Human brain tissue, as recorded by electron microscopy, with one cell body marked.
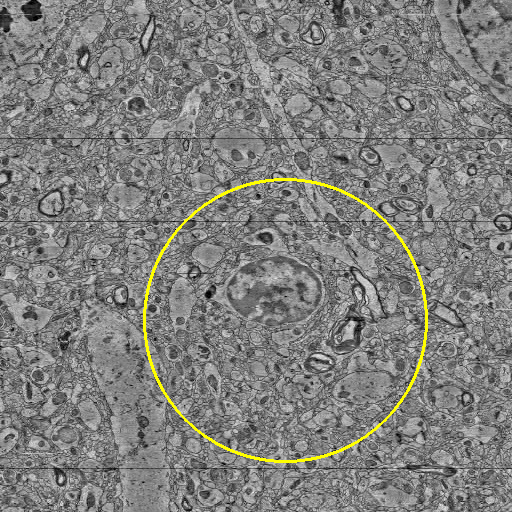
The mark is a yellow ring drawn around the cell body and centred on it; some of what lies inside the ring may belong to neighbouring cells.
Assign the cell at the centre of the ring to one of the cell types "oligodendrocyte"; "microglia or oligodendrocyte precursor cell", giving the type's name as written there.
microglia or oligodendrocyte precursor cell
